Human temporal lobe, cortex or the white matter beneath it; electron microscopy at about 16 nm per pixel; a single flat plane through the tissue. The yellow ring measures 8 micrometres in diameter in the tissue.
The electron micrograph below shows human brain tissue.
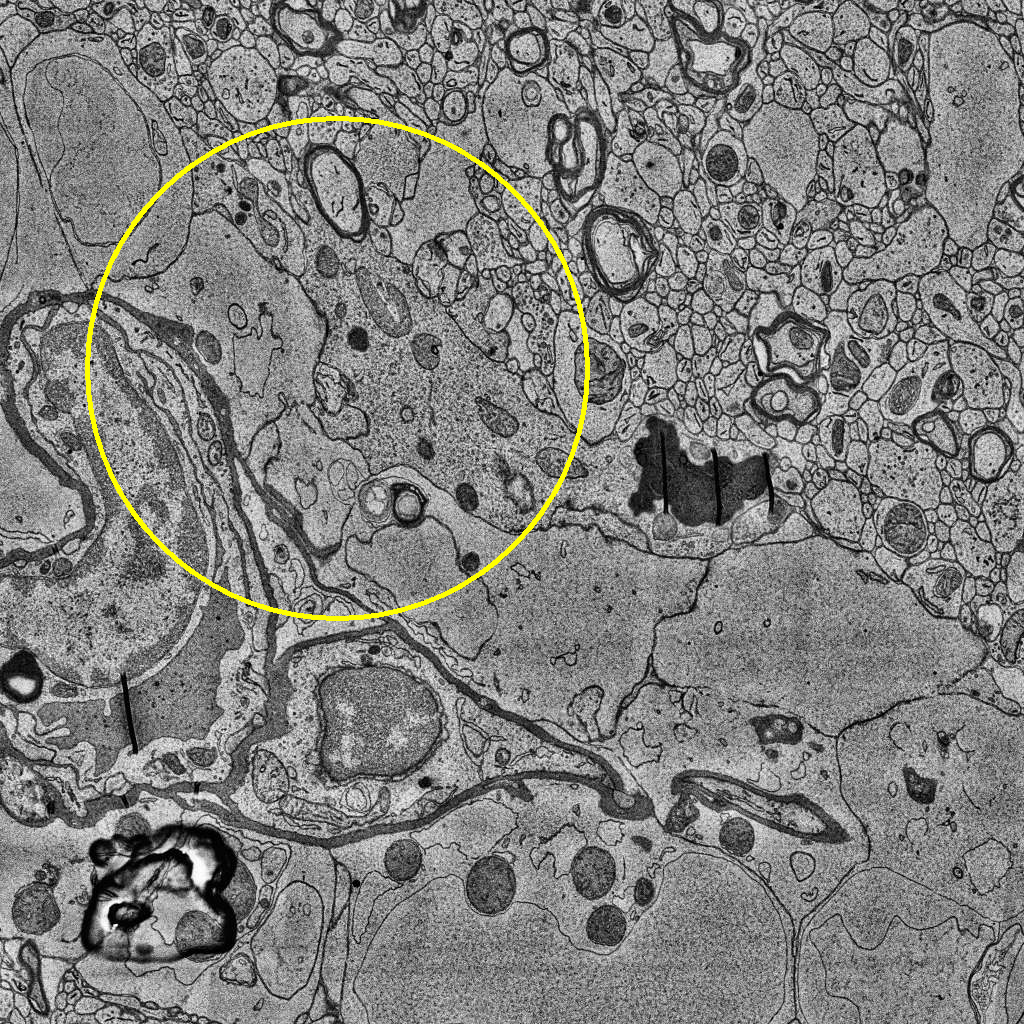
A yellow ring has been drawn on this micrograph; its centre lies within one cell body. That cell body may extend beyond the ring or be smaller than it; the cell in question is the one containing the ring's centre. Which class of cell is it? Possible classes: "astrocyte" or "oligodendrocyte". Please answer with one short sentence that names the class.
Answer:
In the centre of the ring sits an oligodendrocyte.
